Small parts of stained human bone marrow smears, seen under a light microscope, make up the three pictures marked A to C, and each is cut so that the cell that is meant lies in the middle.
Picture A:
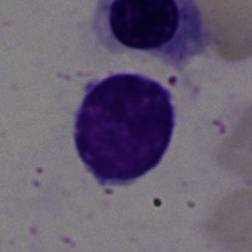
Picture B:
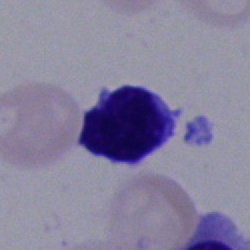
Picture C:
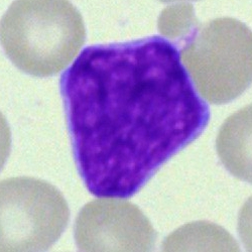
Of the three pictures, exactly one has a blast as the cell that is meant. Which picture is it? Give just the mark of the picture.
C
